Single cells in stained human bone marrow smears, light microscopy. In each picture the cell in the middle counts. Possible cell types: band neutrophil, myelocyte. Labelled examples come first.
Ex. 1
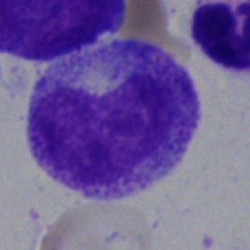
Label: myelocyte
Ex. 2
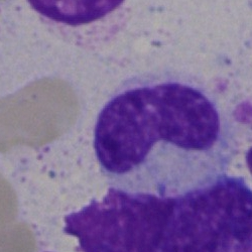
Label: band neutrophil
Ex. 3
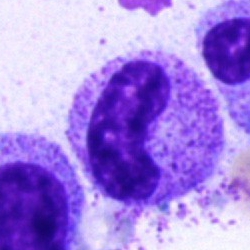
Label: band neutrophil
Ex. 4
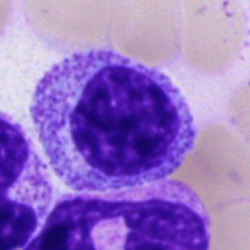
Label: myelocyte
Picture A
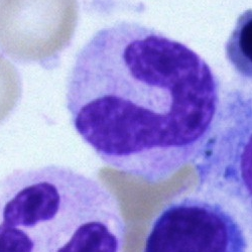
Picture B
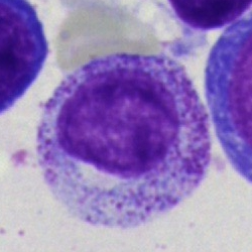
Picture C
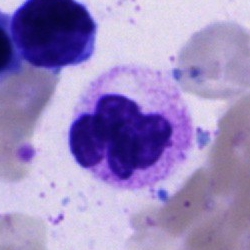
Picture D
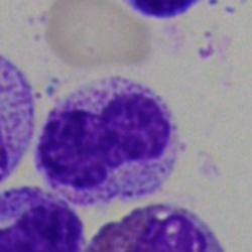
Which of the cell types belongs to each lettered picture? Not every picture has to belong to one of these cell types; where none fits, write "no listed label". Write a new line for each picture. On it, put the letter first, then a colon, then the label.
A: band neutrophil
B: myelocyte
C: no listed label
D: band neutrophil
